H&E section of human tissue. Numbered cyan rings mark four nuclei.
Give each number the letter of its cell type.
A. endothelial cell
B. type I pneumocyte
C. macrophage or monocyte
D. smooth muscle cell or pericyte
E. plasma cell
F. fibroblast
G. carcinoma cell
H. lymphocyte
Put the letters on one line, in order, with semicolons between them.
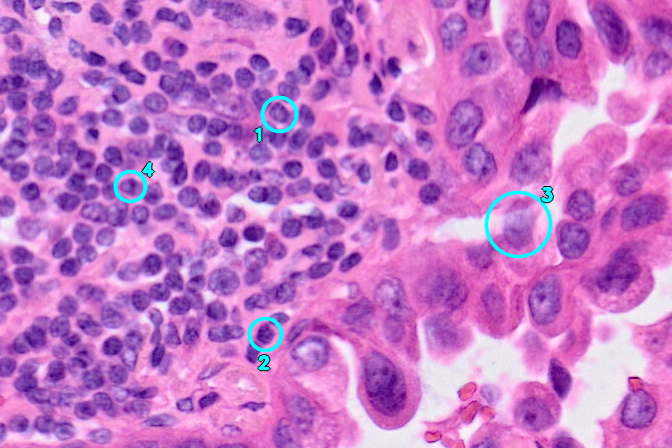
H; H; G; H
